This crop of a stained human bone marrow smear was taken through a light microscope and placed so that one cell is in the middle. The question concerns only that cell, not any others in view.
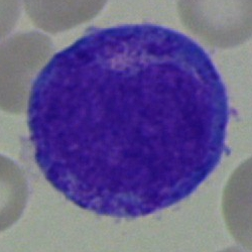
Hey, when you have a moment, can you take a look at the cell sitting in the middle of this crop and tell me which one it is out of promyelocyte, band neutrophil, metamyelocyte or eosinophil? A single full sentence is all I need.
This crop's central cell is a promyelocyte.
